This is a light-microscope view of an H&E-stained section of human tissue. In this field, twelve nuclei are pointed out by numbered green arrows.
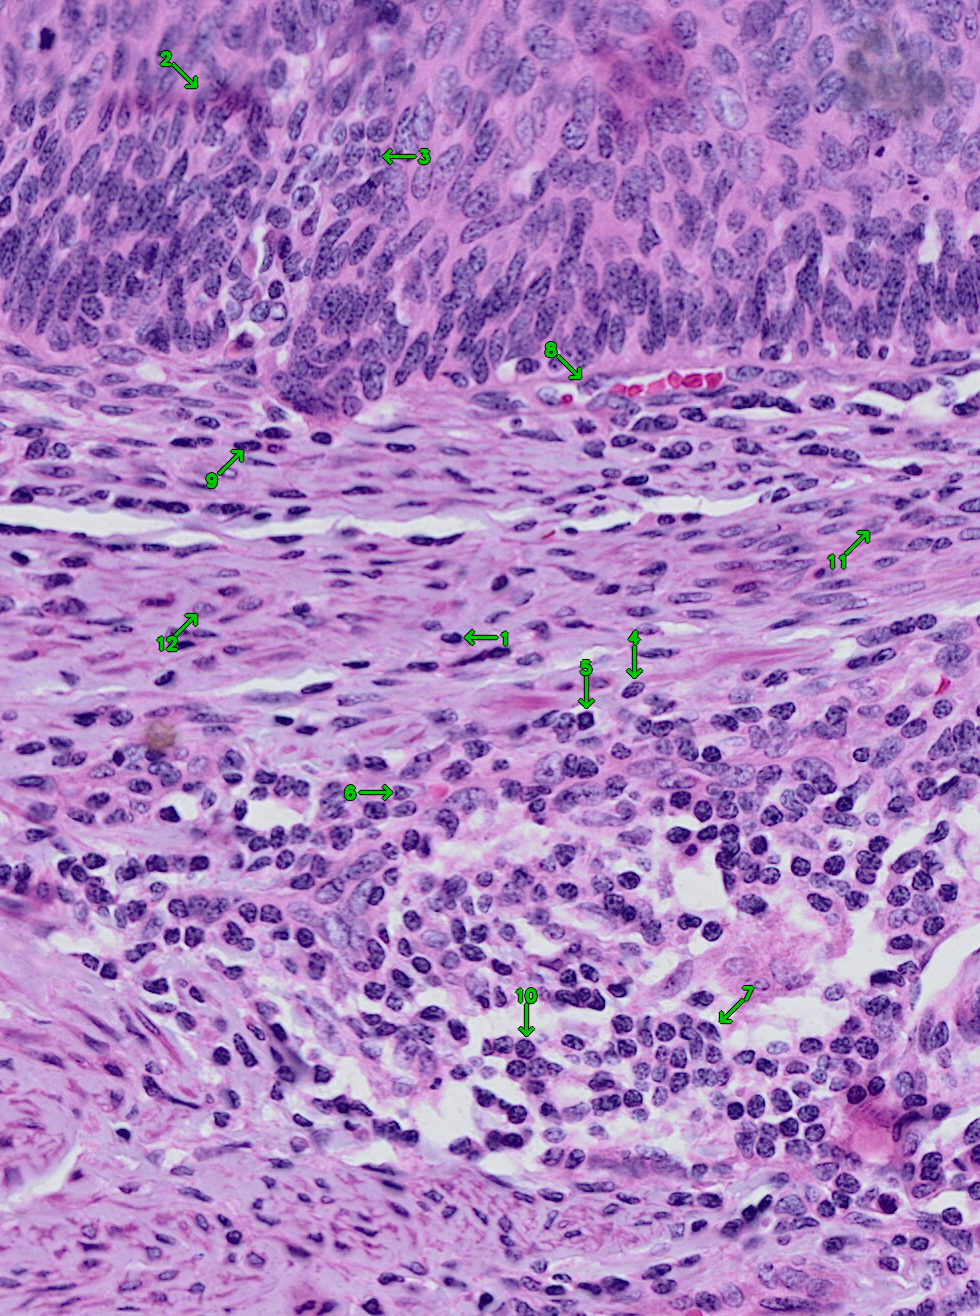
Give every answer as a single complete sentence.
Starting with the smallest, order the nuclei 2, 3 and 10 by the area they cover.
Smallest first, the nuclei run 2, 3, 10.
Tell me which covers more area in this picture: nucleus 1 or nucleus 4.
Nucleus 4 is larger, with an area about 1.5 times that of nucleus 1.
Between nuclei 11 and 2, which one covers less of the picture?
With nucleus 11 about 2 times its size, nucleus 2 is the smaller of the two.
